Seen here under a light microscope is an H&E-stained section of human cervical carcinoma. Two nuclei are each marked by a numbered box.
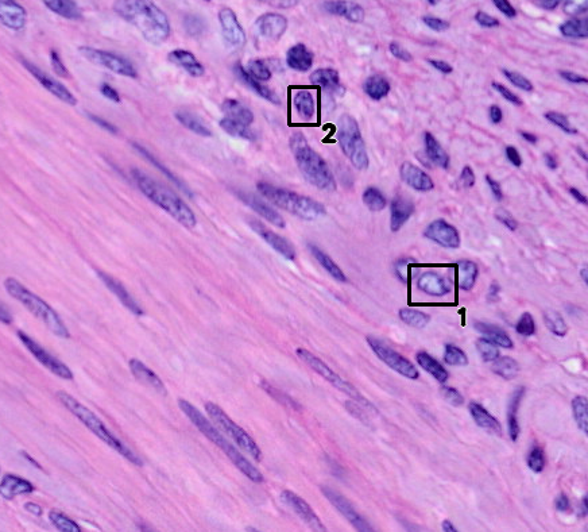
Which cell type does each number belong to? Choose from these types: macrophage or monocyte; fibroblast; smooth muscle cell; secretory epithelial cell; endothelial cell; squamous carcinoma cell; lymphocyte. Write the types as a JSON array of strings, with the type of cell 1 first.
["endothelial cell", "lymphocyte"]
